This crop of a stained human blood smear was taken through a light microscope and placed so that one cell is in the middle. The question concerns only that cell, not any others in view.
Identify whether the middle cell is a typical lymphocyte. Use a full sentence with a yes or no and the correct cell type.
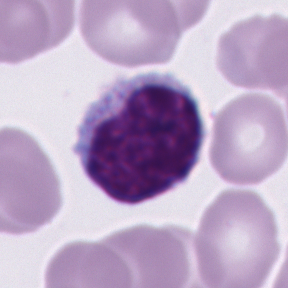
Yes, the cell at the middle of the frame is a typical lymphocyte.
